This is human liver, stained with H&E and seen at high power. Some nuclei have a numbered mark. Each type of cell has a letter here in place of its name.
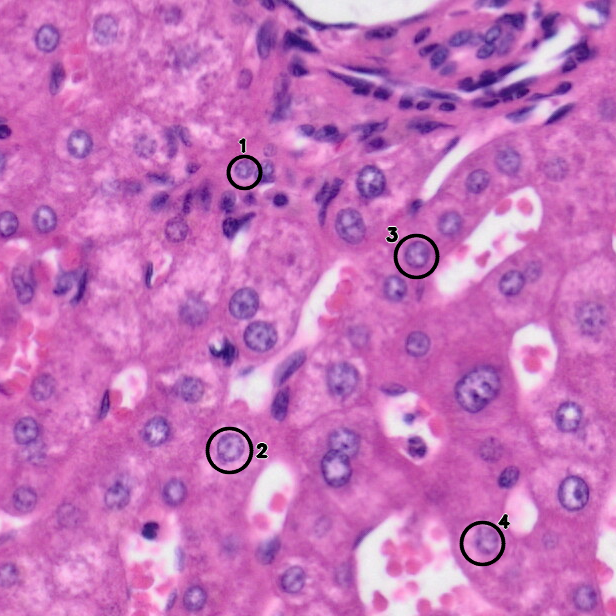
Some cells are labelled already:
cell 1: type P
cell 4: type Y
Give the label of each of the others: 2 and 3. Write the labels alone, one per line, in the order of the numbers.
type Y
type Y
